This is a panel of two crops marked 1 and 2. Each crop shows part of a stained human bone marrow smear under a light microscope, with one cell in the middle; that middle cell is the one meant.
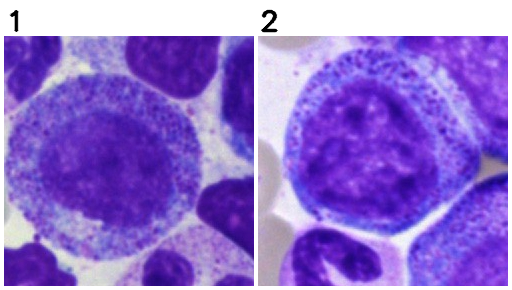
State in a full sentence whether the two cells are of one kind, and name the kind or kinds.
Yes, the two central cells, one per crop, are promyelocytes.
